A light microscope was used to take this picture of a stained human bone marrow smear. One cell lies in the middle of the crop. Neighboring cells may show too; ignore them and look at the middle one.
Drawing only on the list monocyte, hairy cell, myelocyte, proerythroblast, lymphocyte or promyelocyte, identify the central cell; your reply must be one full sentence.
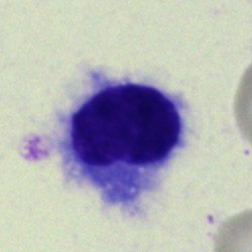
Classification of the middle cell gives a hairy cell.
